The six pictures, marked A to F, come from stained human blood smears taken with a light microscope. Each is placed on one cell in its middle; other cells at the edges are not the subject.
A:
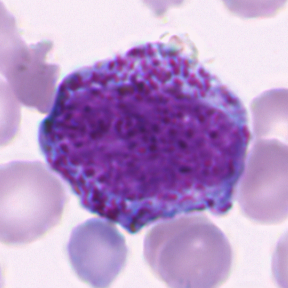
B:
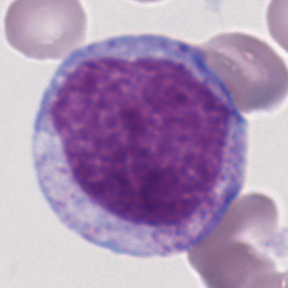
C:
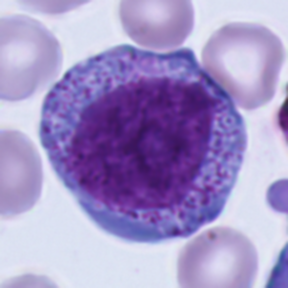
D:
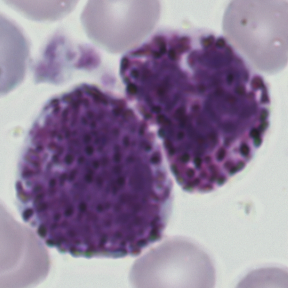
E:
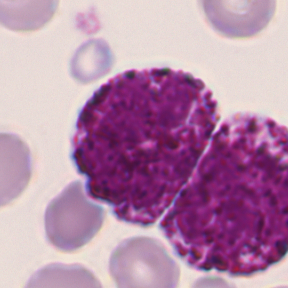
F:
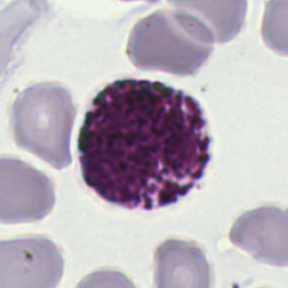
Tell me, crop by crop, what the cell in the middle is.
A: promyelocyte
B: promyelocyte
C: promyelocyte
D: basophil
E: basophil
F: basophil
